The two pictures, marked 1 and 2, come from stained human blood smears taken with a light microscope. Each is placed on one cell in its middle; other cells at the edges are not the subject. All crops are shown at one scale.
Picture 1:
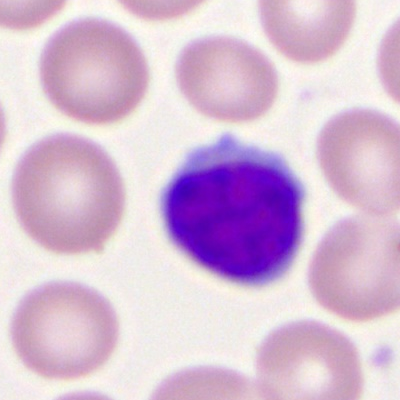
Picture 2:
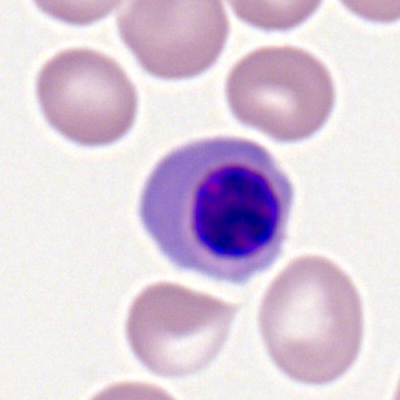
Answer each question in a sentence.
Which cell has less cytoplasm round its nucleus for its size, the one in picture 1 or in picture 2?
The nucleus fills more of the cell in picture 1 than in picture 2.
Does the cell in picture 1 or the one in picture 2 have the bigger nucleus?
Picture 1 shows the larger nucleus; it covers about 2 times the area of the nucleus in picture 2.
